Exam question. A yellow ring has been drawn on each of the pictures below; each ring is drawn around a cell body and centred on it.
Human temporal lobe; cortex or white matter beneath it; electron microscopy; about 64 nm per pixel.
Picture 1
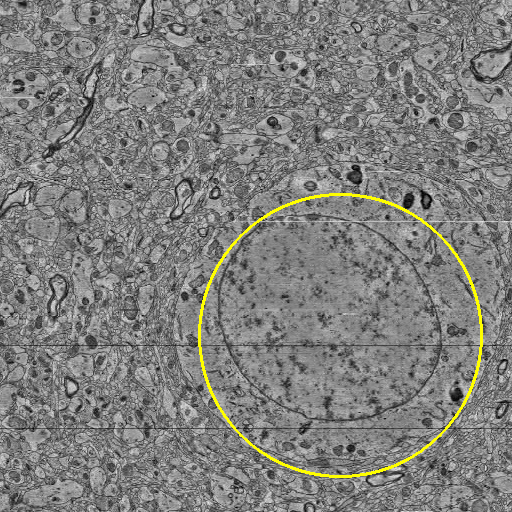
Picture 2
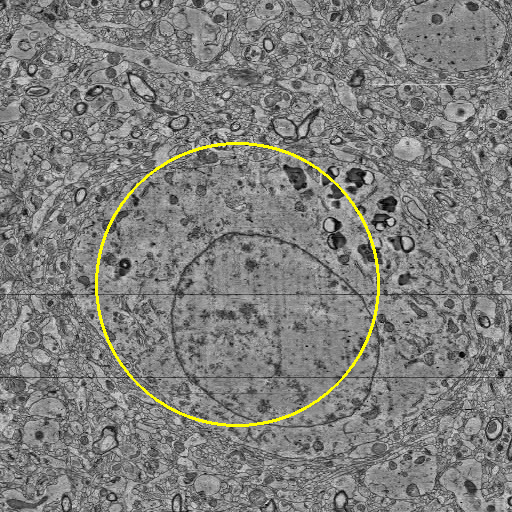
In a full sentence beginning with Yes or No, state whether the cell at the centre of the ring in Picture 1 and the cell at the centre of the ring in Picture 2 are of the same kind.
Yes, the two cells are of the same kind.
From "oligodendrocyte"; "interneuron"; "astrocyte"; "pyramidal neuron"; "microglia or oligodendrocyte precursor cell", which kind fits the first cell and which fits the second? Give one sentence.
In both pictures the ring is centred on a pyramidal neuron.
